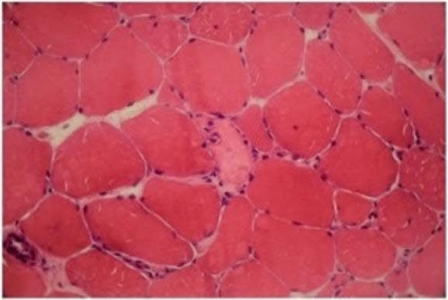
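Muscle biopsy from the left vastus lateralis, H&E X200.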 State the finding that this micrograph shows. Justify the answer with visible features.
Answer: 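One fiber near the centre is paler and less eosinophilic than its neighbours. Small dark nuclei cluster in and around that pale fiber.
Answer: necrotic fiber with myophagocytosis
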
